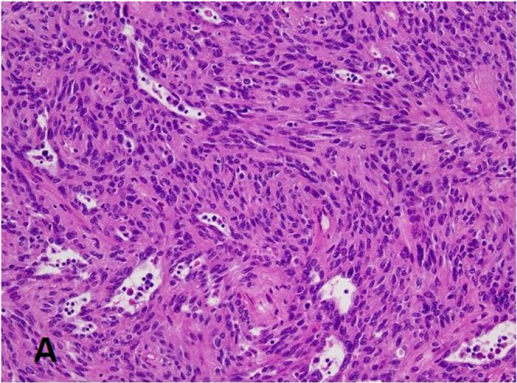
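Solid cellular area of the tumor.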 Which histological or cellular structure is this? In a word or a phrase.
fascicular and whorled pattern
